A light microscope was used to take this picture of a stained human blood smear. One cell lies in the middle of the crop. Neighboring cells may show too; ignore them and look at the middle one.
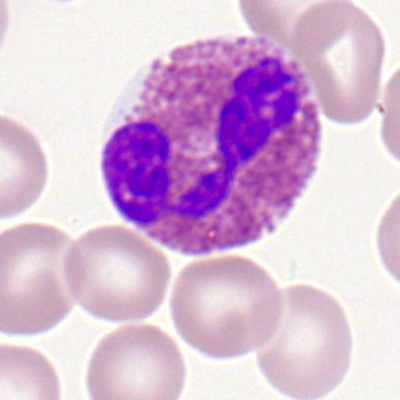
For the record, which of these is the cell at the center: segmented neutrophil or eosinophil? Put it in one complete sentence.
Classification of the middle cell gives an eosinophil.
